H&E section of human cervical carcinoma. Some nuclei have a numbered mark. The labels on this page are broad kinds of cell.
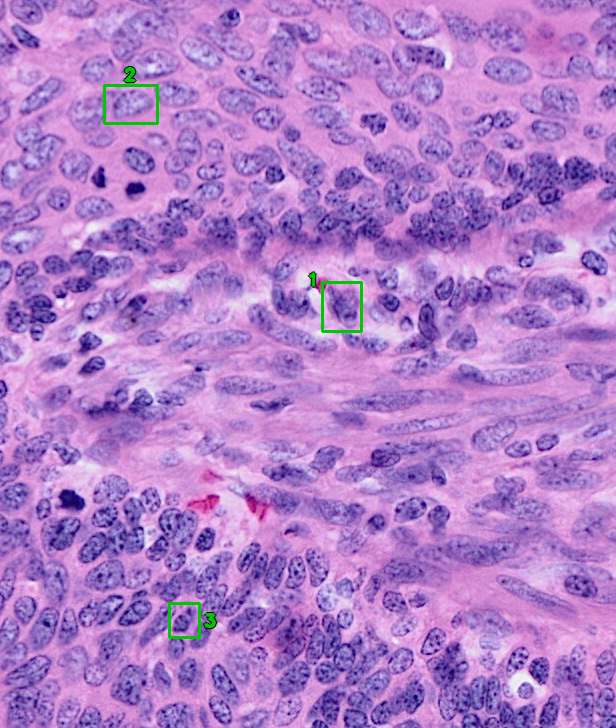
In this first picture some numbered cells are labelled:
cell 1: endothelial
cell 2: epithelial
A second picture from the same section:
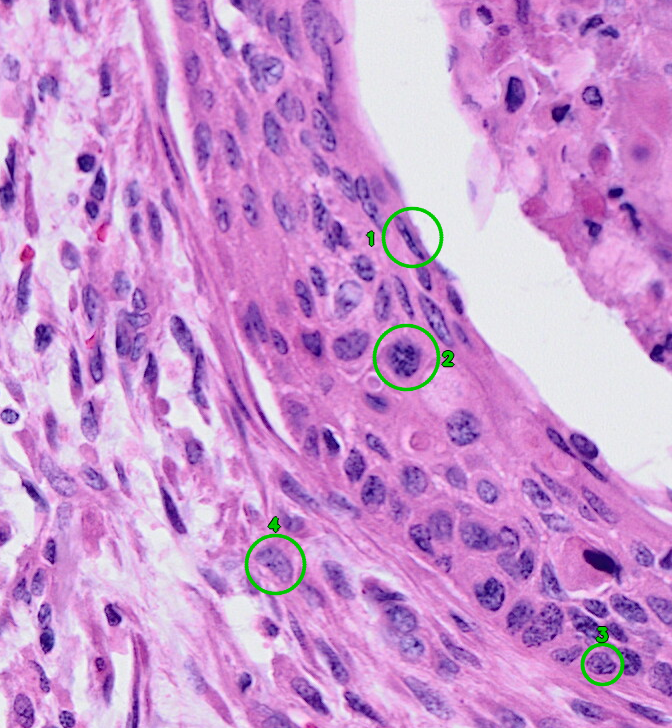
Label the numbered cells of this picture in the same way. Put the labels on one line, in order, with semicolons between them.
epithelial; epithelial; epithelial; endothelial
